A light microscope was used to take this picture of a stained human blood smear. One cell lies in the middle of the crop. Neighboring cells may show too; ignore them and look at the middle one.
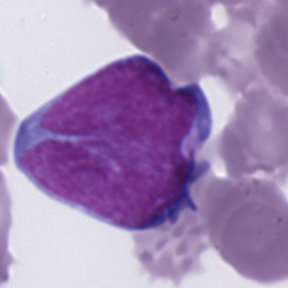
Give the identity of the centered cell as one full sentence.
The cell in the middle of this crop is a myeloblast.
